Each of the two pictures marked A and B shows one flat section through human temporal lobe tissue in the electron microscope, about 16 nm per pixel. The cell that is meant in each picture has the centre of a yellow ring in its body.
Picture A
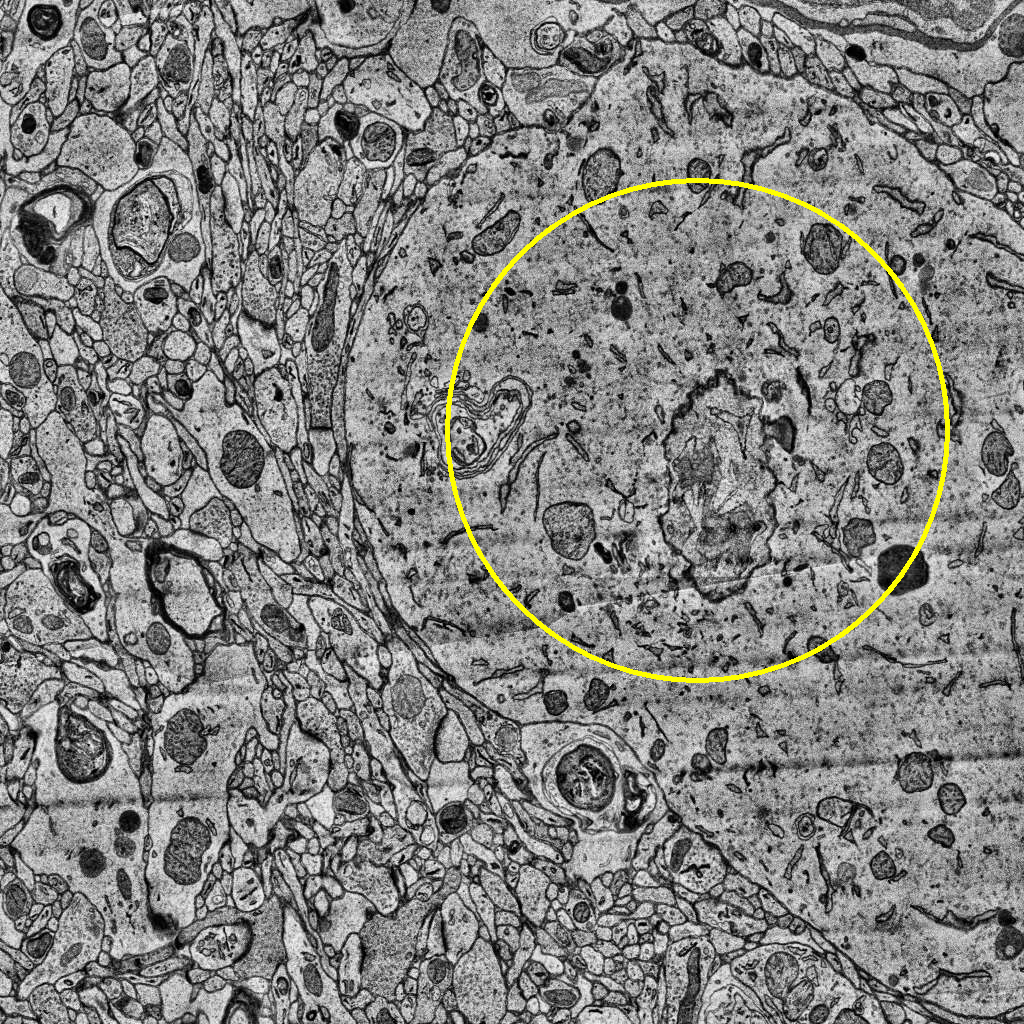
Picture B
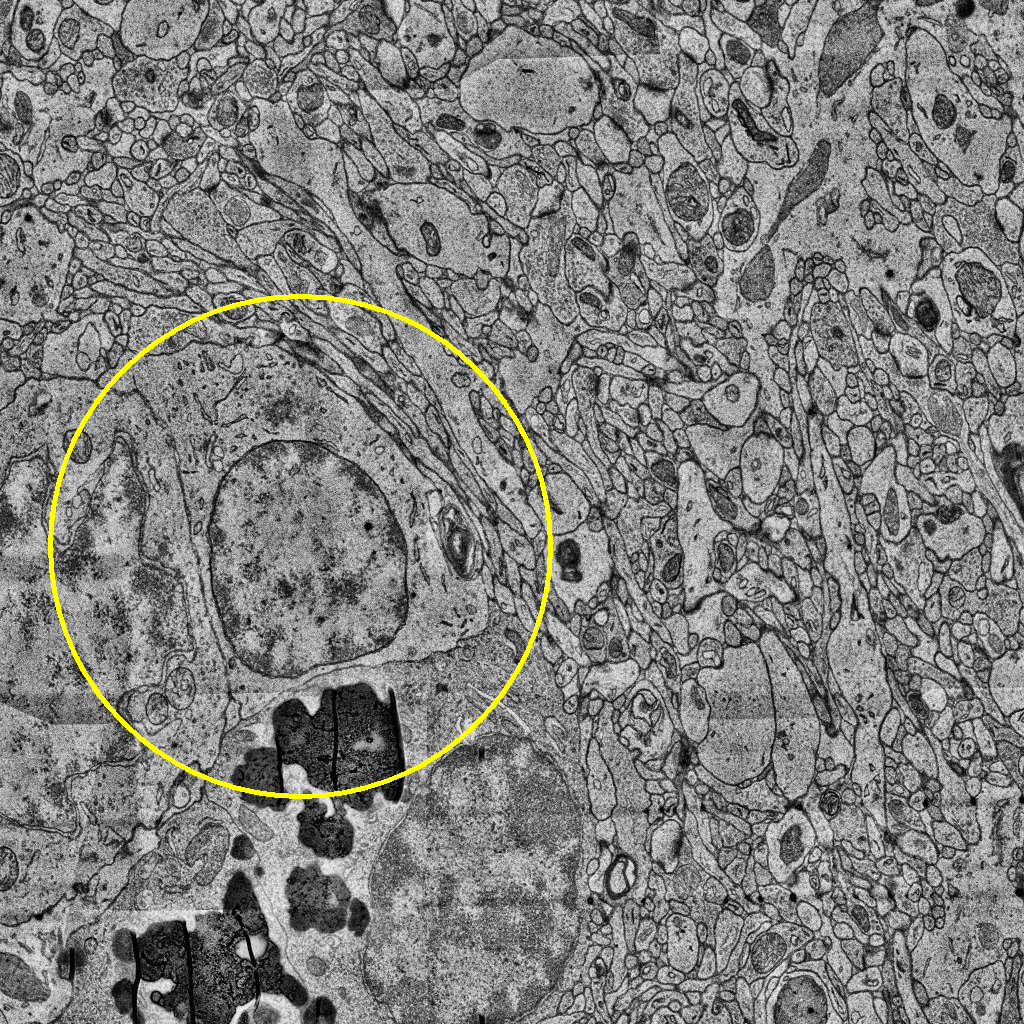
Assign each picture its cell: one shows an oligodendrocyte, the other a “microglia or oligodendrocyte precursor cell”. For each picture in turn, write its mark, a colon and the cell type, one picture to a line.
A: oligodendrocyte
B: microglia or oligodendrocyte precursor cell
